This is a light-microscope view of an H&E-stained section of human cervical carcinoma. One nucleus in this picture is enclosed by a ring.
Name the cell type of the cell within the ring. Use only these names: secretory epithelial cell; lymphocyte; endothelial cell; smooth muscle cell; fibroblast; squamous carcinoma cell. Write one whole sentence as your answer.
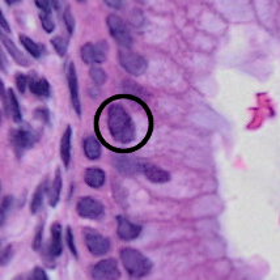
This is a secretory epithelial cell.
